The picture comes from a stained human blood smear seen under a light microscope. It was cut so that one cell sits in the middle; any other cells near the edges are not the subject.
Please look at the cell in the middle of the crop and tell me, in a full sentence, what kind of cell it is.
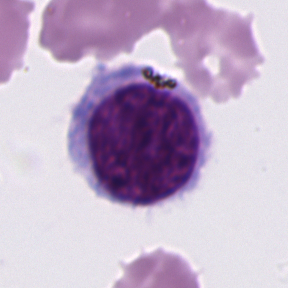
The cell centred in this crop is categorized as a hairy cell.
